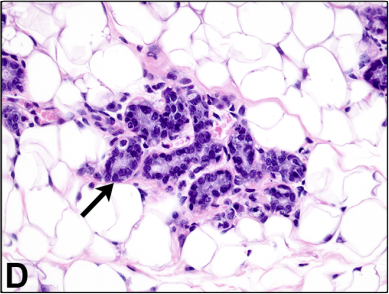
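A small cluster of mammary gland acini lined by low cuboidal cells sits within a wide field of large, empty, polygonal fat cells with thin pink walls. The epithelial cells are short, with scant cytoplasm and crowded dark purple nuclei, so the cluster looks dense and basophilic. The lumens are narrow and contain little or no pink secretion. Thin pink stromal strands surround the cluster, and a small vessel lies nearby.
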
